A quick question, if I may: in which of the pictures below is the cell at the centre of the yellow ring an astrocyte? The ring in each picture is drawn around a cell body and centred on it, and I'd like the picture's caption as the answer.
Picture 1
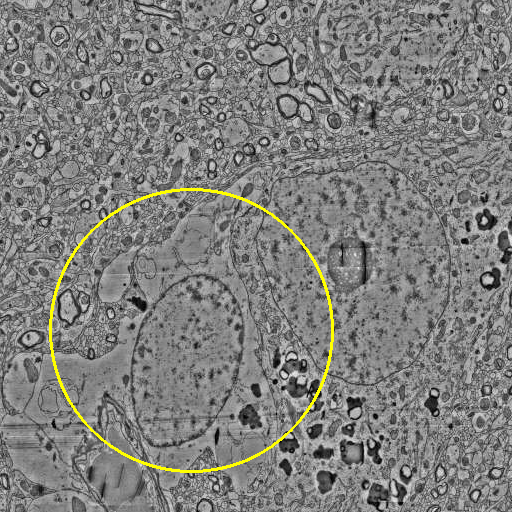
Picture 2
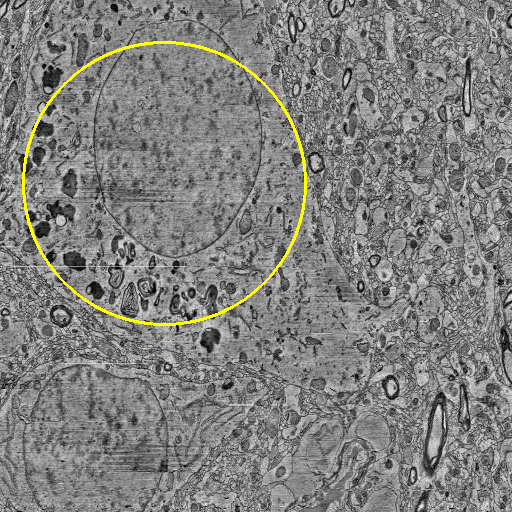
Picture 1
